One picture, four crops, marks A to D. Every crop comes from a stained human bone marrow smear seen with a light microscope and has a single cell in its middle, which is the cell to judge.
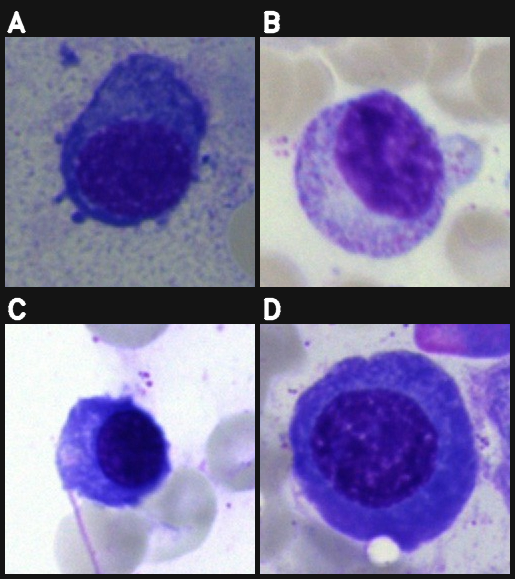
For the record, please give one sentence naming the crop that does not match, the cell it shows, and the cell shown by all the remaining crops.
The different crop is crop B, a myelocyte; all the others show plasma cells.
